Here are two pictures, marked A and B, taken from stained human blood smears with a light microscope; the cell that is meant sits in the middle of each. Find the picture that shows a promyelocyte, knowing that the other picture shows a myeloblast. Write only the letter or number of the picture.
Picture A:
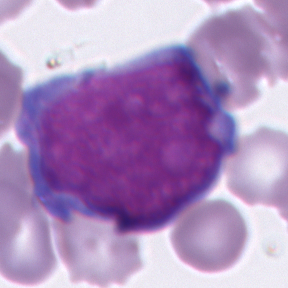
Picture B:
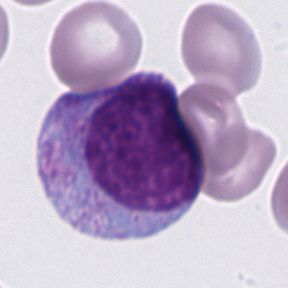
B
